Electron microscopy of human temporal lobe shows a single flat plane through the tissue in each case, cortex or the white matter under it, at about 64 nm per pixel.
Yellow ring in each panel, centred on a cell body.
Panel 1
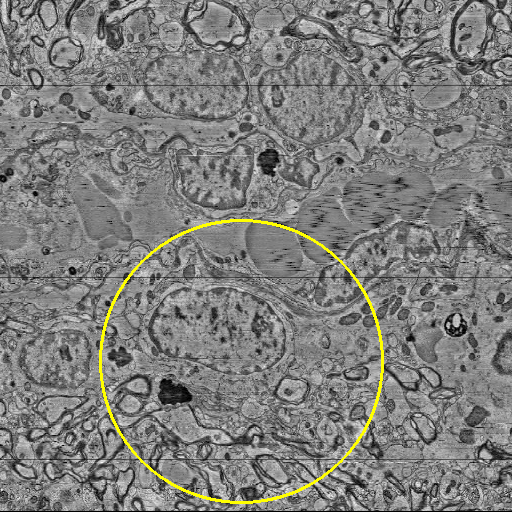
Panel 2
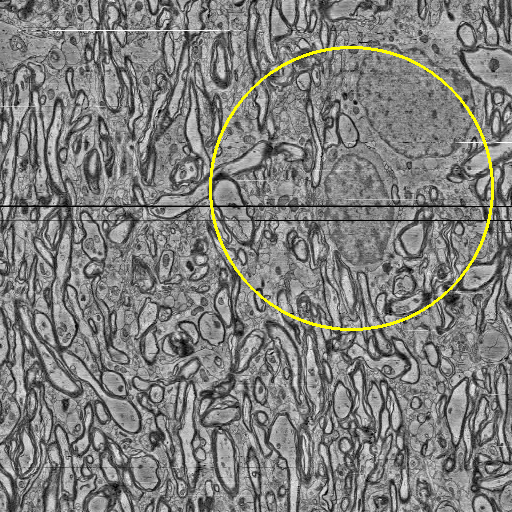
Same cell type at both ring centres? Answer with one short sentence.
No, the two cells are of two types.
